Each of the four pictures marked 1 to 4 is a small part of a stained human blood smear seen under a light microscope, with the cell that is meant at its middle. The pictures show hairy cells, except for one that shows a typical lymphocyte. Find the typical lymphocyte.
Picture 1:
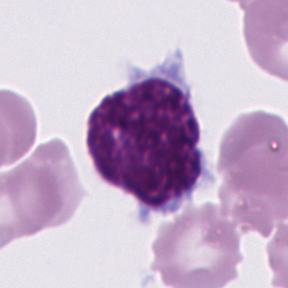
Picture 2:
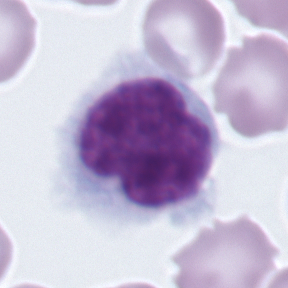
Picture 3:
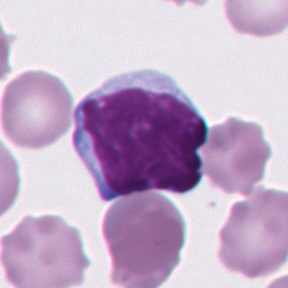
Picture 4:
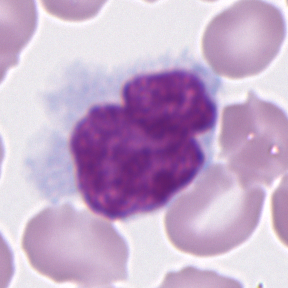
3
